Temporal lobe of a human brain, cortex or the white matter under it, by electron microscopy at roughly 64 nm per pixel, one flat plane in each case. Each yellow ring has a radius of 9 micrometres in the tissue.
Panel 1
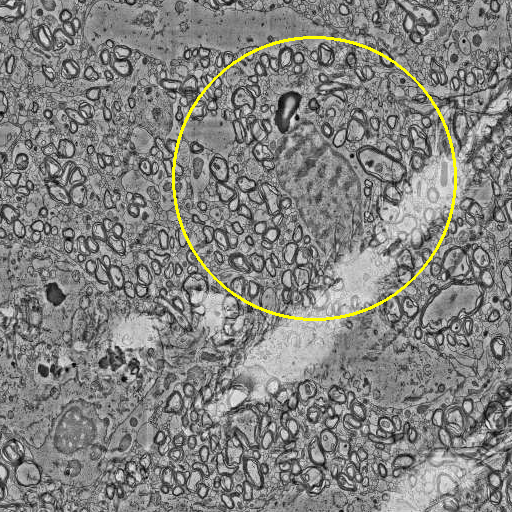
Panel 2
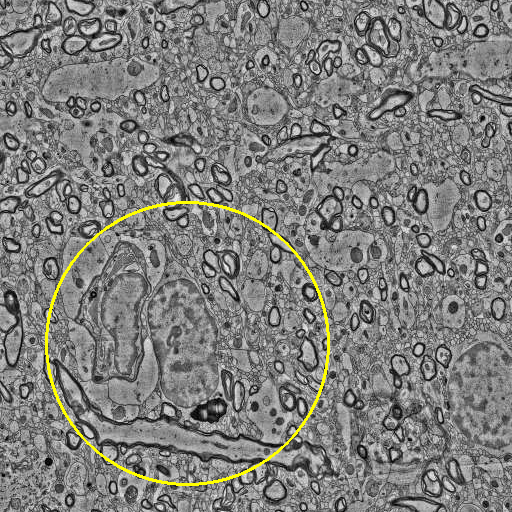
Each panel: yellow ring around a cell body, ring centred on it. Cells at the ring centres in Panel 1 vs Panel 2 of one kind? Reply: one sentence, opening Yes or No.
Yes, Panel 1 and Panel 2 have cells of one kind at the ring centres.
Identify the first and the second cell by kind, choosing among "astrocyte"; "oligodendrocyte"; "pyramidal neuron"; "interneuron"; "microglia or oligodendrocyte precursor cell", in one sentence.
Both pictures show an oligodendrocyte at the centre of the ring.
